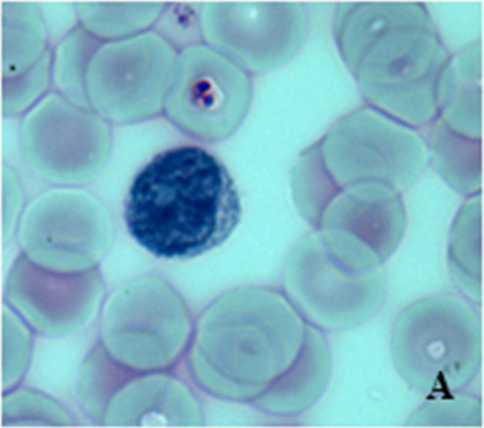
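This blood smear shows a single round nucleated white cell among pale blue-grey red blood cells, many of which overlap one another. The cell's nucleus is dense and dark blue and takes up most of the cell, with only a slim paler edge of cytoplasm on one side. No distinct ring of magenta-purple granules lines its edge.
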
